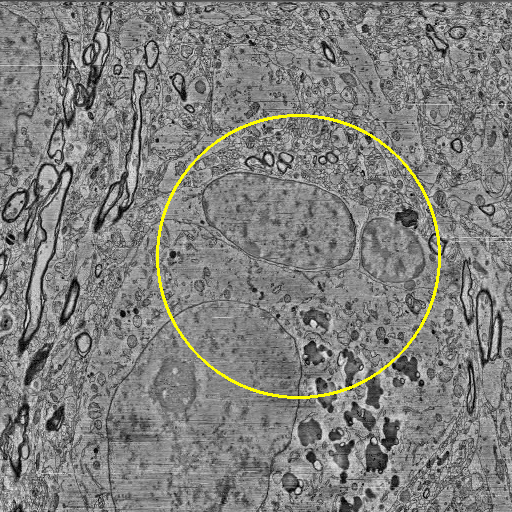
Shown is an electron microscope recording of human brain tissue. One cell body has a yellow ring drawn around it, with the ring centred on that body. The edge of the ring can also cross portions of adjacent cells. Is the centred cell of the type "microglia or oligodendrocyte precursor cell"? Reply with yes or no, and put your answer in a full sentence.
Yes, in the picture, the cell on which the ring is centred has this type.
